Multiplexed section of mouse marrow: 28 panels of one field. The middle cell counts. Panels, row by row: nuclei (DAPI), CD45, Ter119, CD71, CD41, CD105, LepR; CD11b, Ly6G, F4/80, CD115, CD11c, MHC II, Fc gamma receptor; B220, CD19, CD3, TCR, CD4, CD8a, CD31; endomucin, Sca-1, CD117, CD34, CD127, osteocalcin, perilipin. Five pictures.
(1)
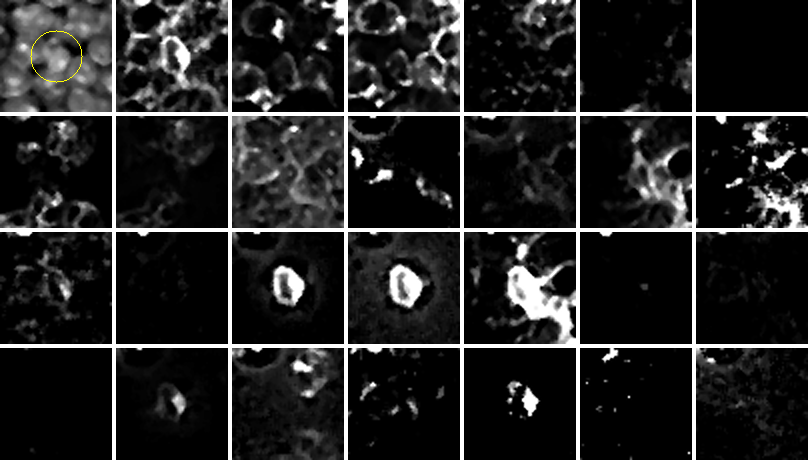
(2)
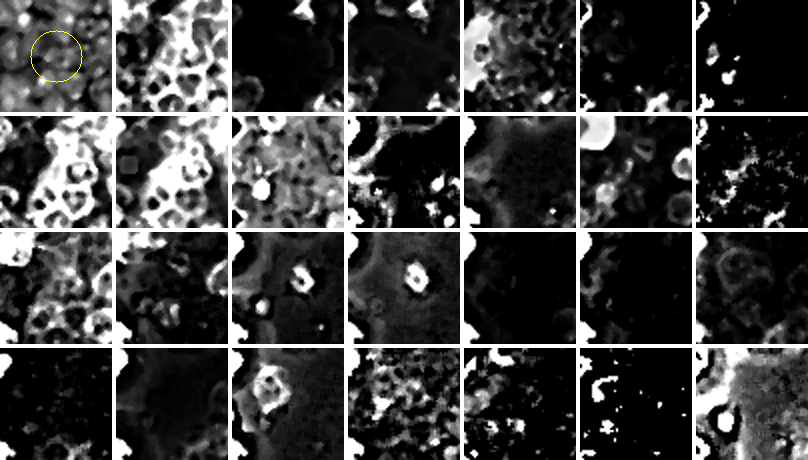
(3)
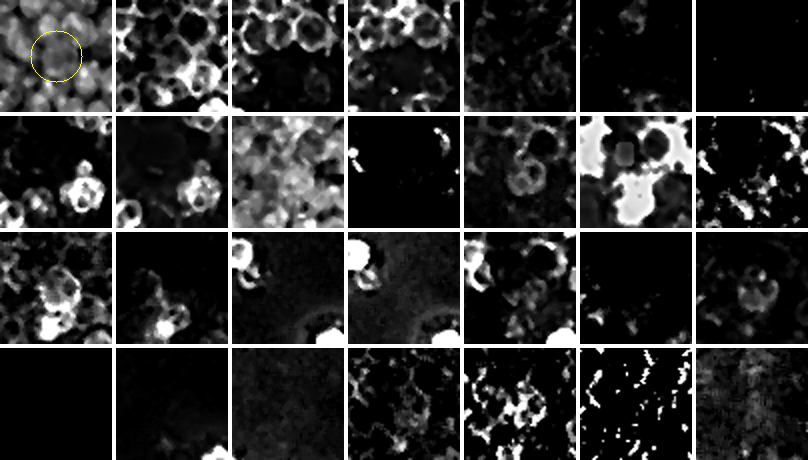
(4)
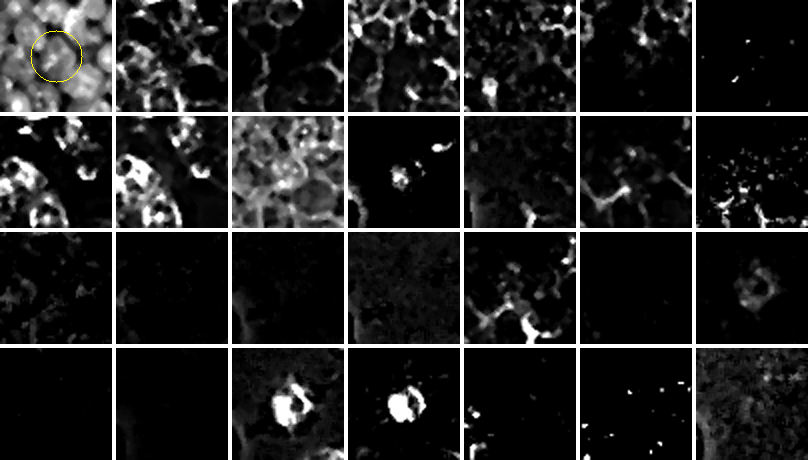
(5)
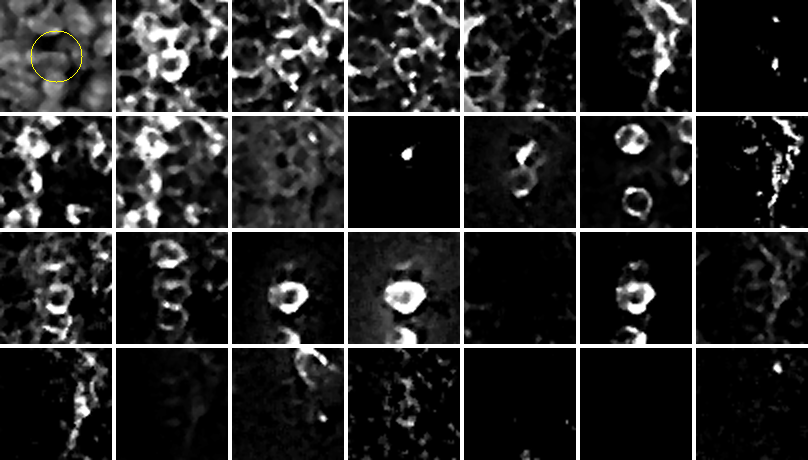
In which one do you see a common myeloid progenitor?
In picture 4.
